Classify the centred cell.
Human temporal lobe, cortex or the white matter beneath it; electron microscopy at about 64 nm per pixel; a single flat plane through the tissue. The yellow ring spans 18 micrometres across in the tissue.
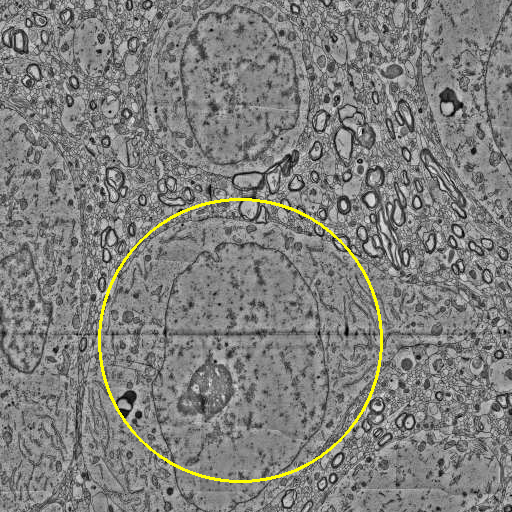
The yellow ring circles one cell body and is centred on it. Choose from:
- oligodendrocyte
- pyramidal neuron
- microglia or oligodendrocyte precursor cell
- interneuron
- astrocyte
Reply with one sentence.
The ring is centred on a pyramidal neuron.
